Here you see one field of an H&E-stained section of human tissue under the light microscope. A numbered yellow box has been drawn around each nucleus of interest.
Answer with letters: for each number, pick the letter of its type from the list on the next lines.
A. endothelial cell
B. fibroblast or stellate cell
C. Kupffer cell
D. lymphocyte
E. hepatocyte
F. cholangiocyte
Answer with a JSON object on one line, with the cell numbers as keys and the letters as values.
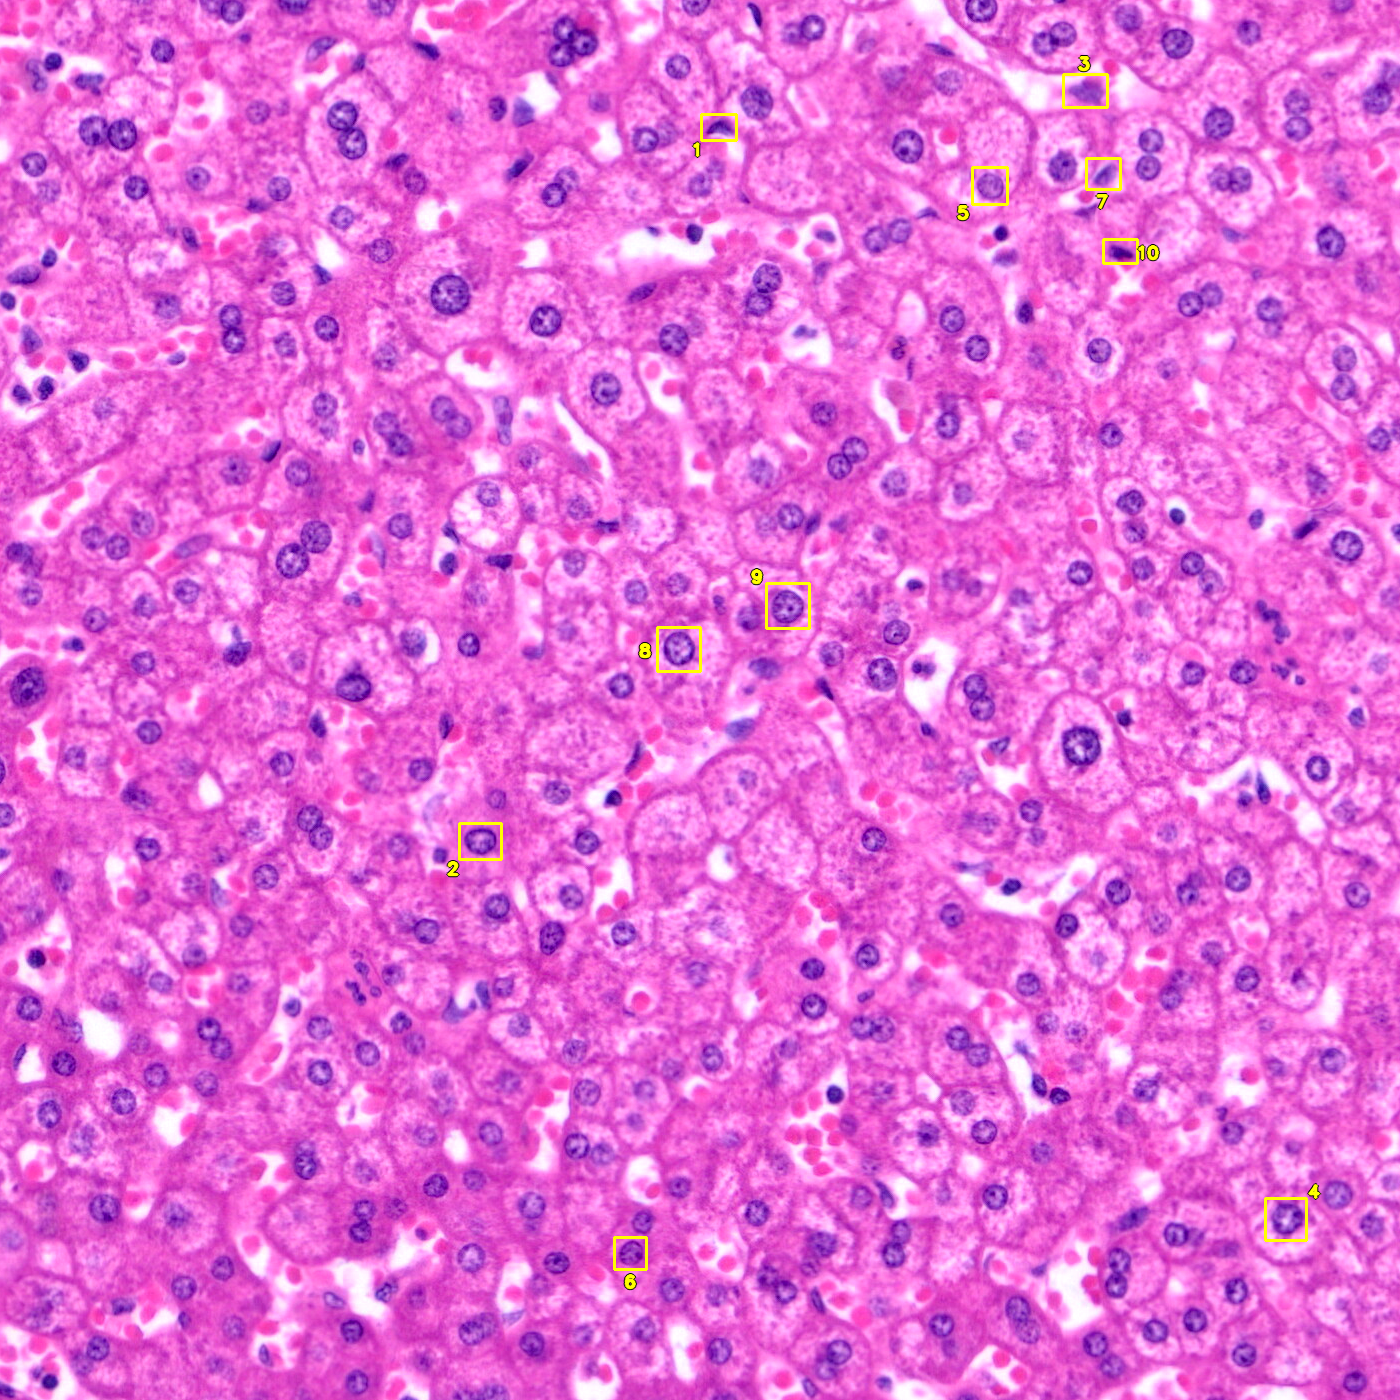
{"1": "A", "2": "E", "3": "C", "4": "E", "5": "E", "6": "E", "7": "A", "8": "E", "9": "E", "10": "B"}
